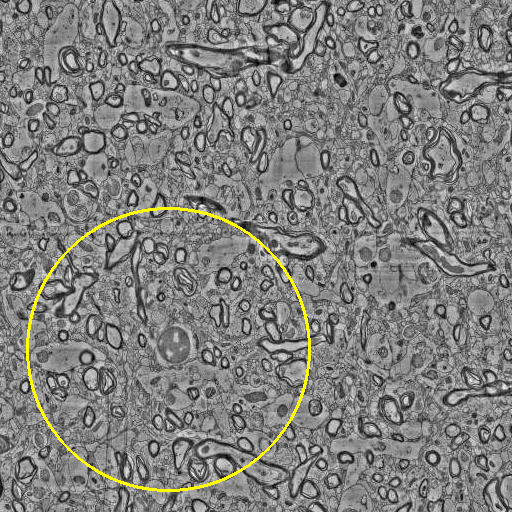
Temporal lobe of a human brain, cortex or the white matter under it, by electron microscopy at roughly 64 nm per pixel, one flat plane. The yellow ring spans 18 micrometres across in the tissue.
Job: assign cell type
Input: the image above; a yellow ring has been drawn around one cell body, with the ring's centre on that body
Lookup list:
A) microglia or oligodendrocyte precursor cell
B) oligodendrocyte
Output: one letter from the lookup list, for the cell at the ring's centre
A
